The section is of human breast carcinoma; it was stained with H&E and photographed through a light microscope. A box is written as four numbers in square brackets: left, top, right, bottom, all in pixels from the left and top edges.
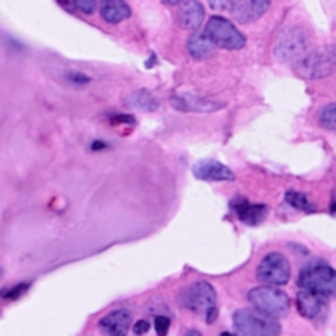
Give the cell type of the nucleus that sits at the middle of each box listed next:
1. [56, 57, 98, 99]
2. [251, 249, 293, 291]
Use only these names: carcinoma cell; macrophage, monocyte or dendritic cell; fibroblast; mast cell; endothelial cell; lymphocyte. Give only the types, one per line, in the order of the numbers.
fibroblast
carcinoma cell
